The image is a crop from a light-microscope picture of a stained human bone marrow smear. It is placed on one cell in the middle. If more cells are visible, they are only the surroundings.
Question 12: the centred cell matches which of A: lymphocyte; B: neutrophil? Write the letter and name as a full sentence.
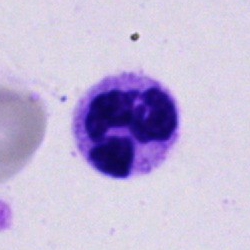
The cell occupying the centre is a neutrophil; option B is thus the correct choice.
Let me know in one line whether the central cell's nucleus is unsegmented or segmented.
If you check the nucleus, you will find it split into two or more lobes.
